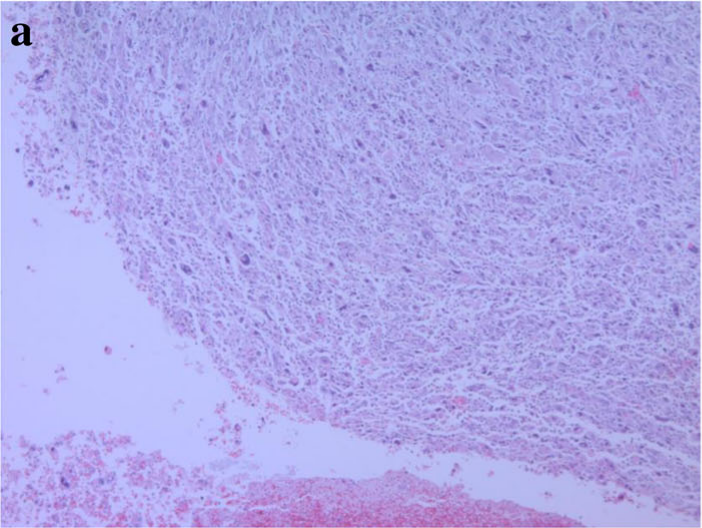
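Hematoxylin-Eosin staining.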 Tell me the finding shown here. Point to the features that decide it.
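Proliferated diffusely. A continuous sheet of cells fills most of the field. No glands, lobules or layered organization are seen. Blood lies along the lower edge of the tissue.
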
